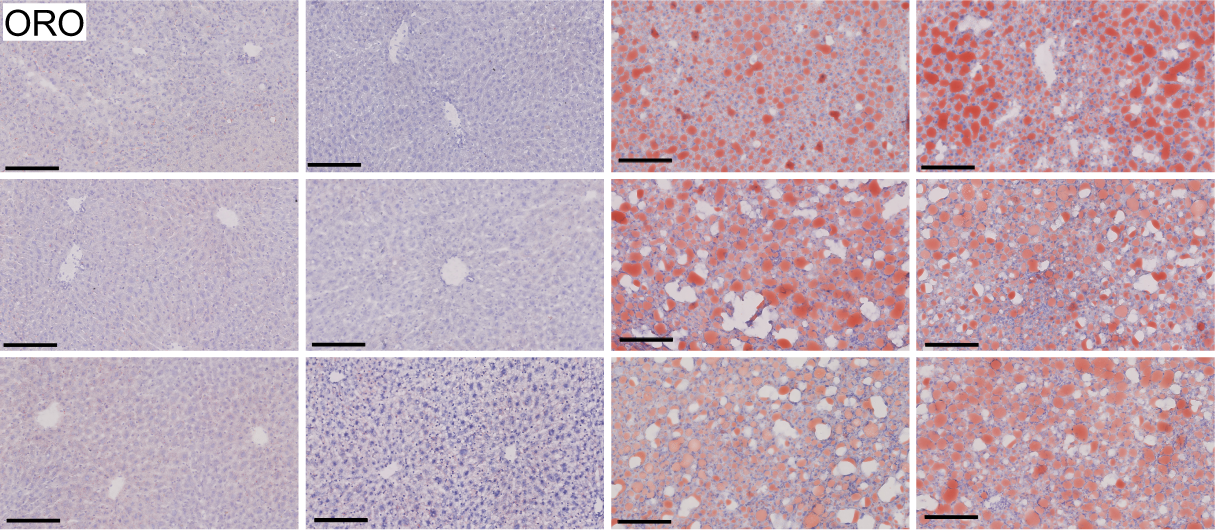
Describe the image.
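Some images show parenchyma with no red material, whereas others are packed with red-stained droplets of many sizes within the hepatocytes. Among the red droplets lie large round clear spaces.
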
